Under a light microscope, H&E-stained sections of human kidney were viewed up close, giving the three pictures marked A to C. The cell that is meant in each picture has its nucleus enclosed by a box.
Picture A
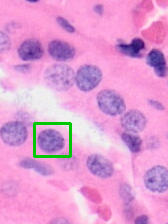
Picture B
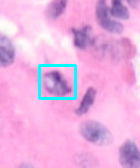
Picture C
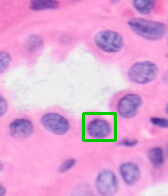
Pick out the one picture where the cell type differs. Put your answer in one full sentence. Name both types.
Picture A differs, because its cell is a collecting duct cell and the rest are “loop of Henle or distal tubule cells”.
